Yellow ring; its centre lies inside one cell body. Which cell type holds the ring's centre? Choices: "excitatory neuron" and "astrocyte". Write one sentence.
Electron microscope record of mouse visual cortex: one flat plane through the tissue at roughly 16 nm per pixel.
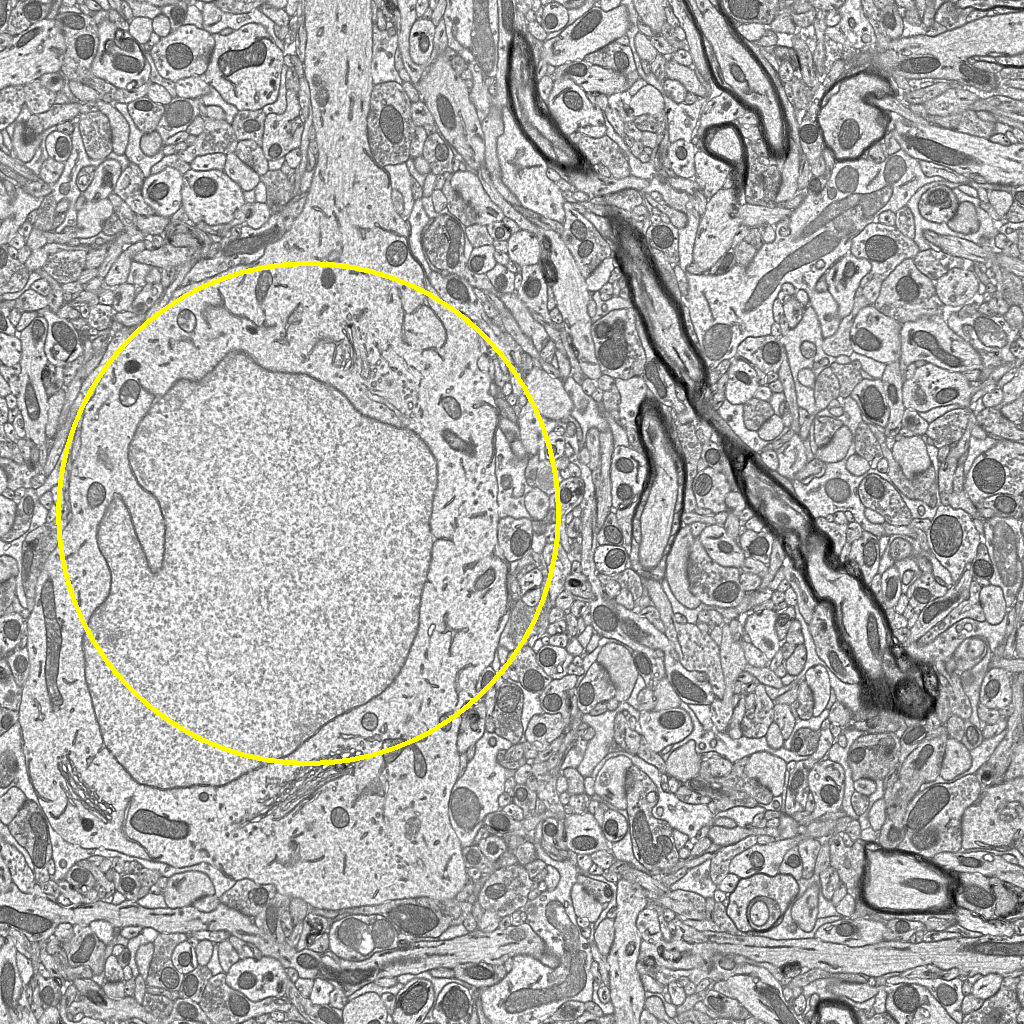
At the centre of the ring sits an excitatory neuron.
